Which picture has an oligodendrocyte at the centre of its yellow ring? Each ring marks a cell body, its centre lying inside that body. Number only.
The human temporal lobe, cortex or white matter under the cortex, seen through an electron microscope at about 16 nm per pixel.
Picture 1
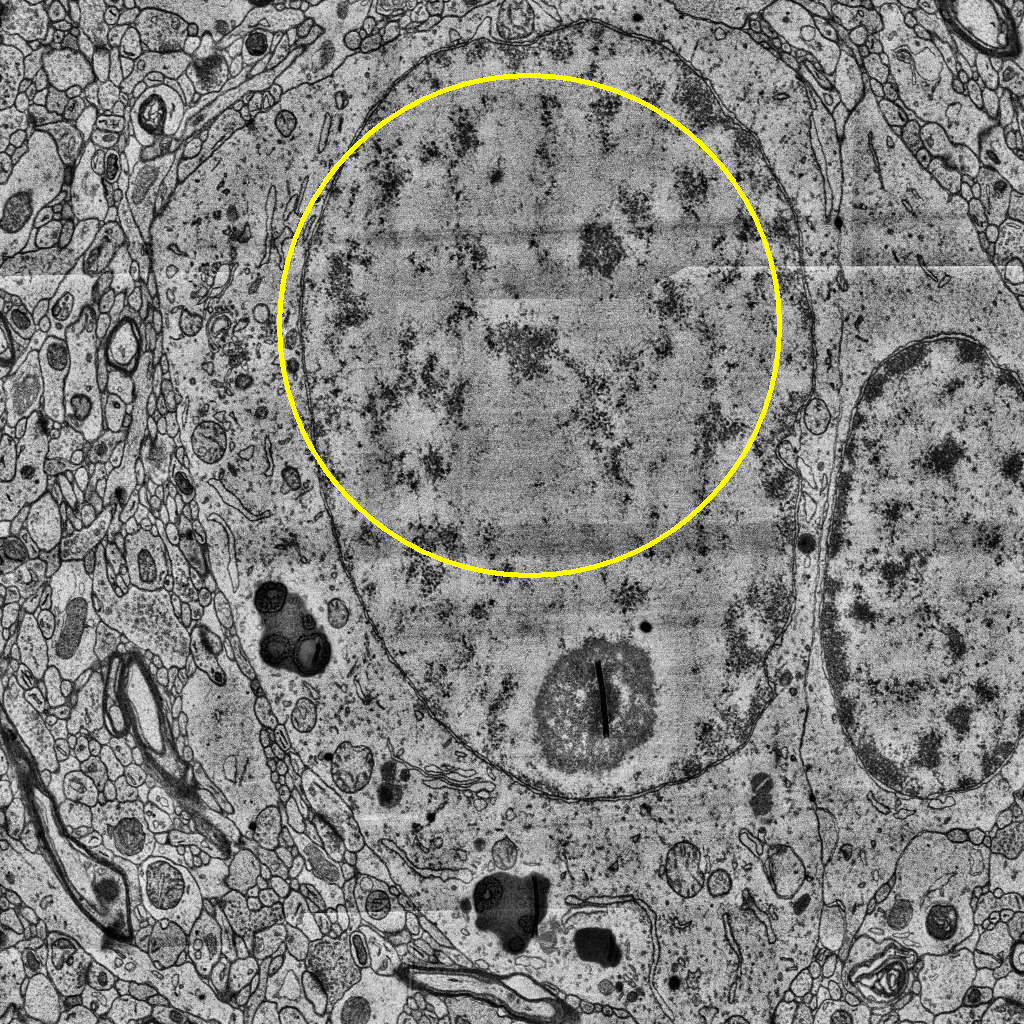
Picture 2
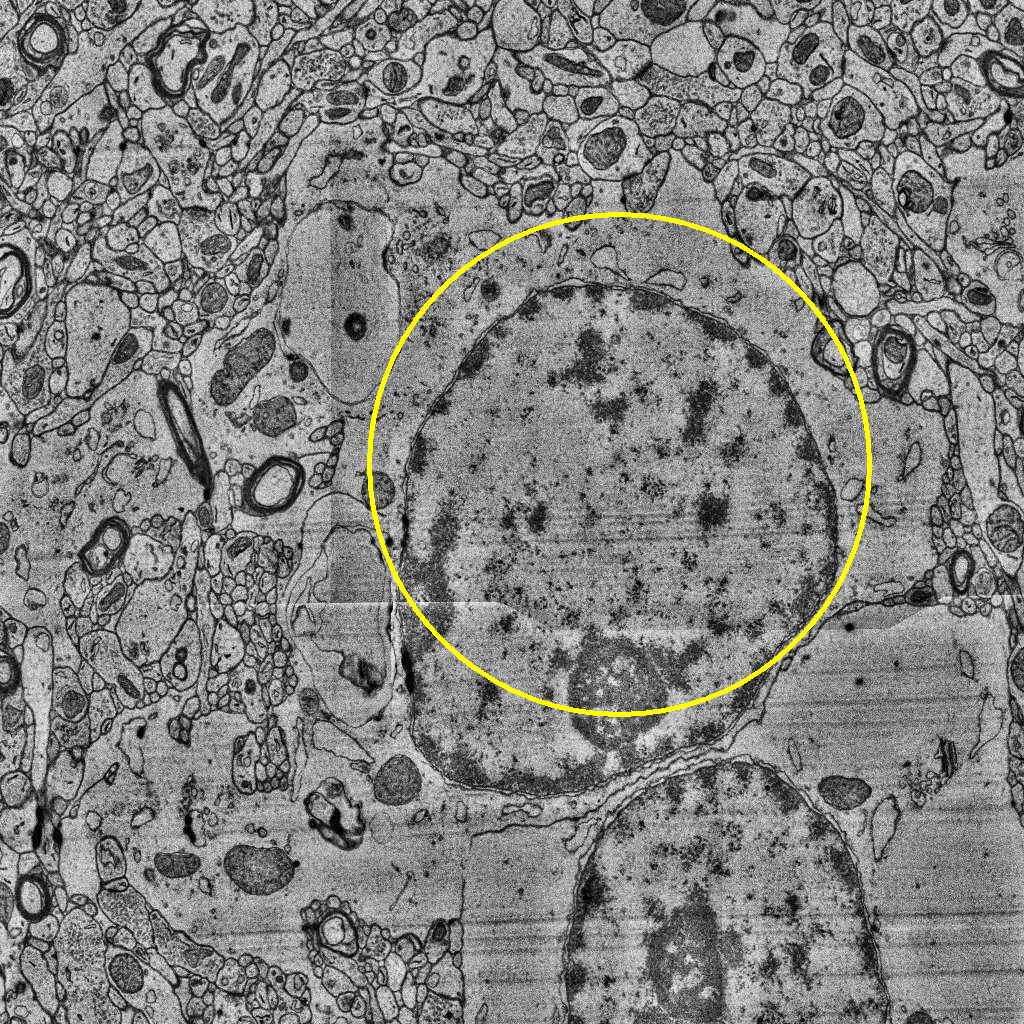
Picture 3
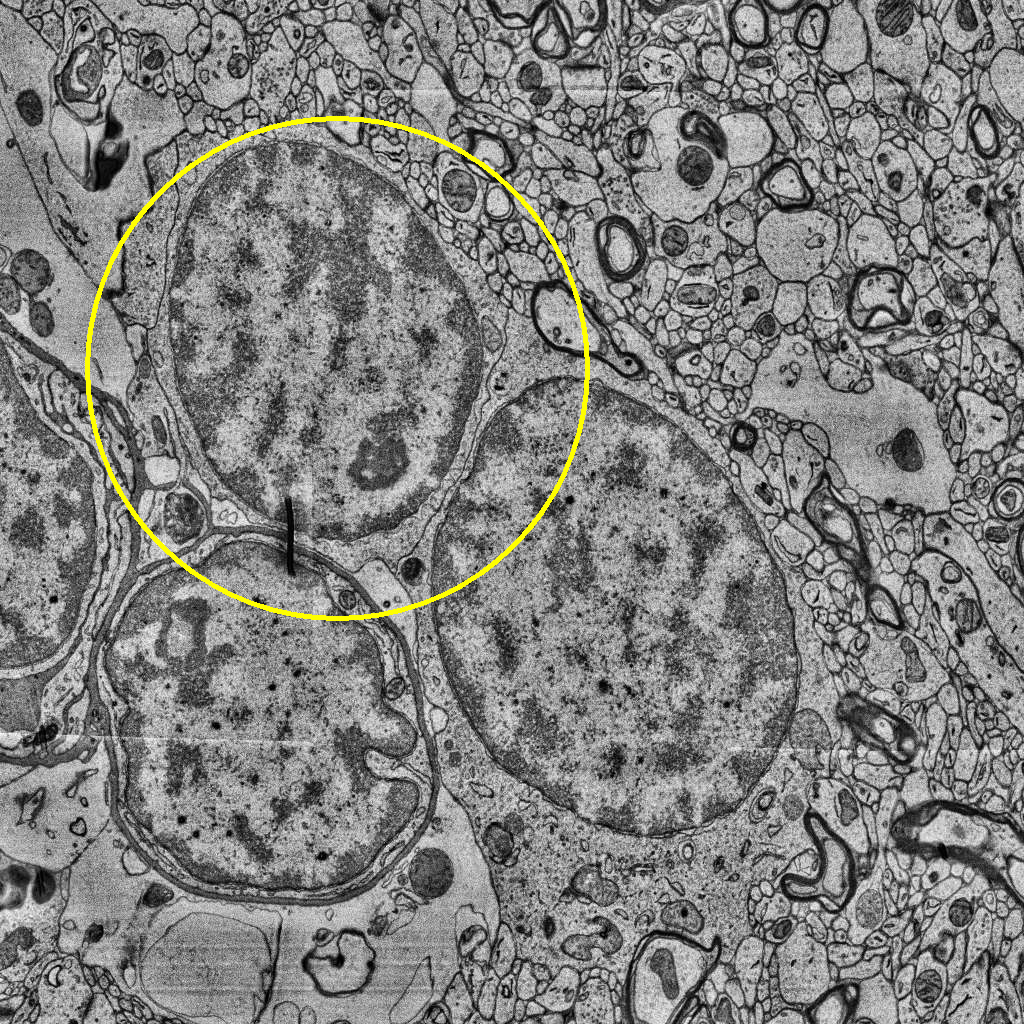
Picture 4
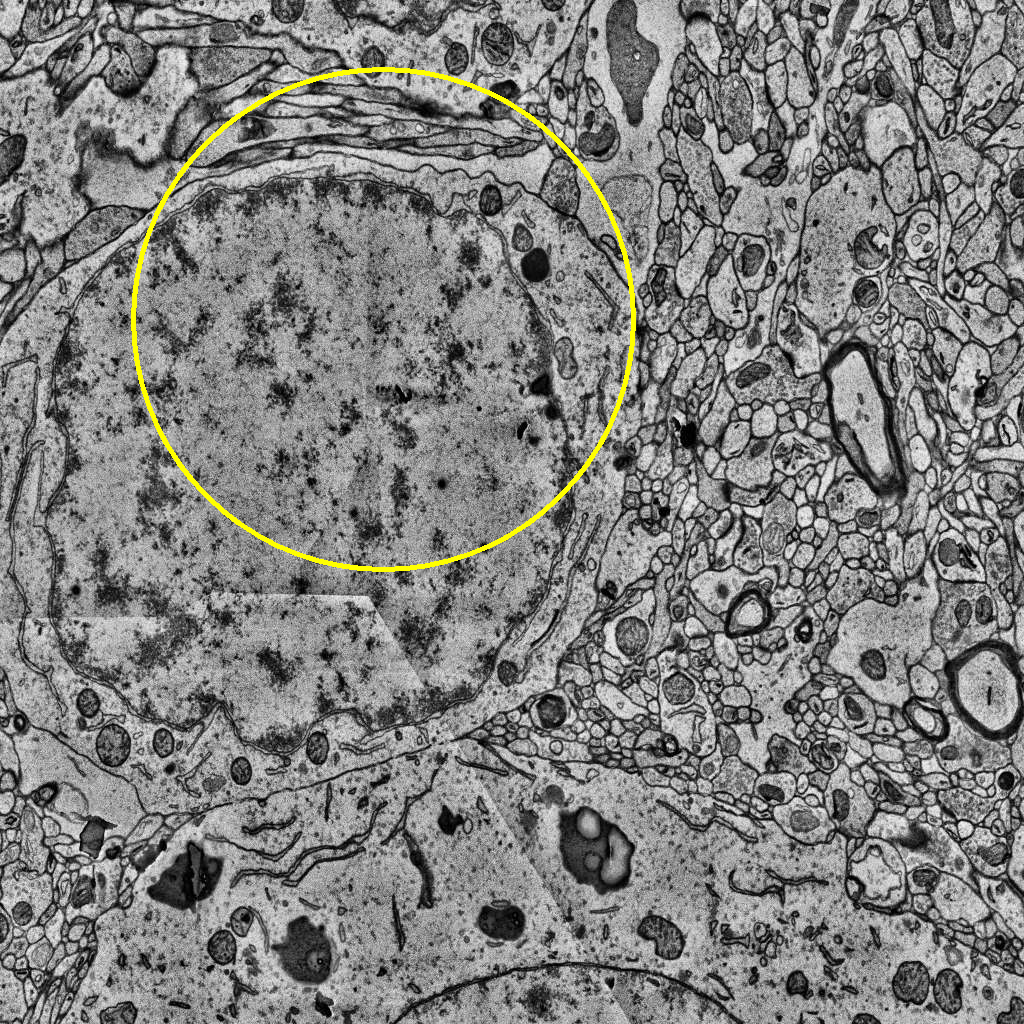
3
